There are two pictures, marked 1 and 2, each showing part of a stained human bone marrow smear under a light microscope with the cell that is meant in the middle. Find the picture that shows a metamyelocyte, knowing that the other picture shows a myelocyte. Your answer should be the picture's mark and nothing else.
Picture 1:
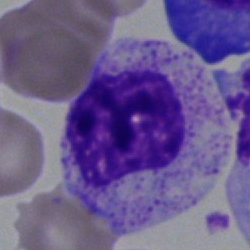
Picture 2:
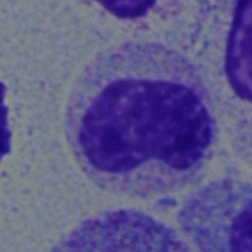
2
